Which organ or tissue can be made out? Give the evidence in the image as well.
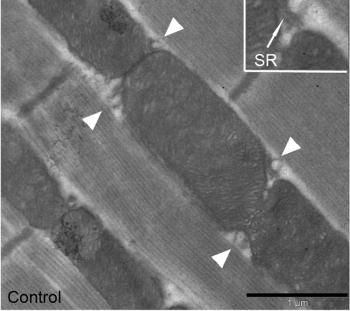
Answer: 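Rows of large electron-dense organelles with packed cristae lie between the striated bundles.
Hence: Muscle fibre.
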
